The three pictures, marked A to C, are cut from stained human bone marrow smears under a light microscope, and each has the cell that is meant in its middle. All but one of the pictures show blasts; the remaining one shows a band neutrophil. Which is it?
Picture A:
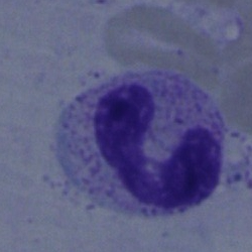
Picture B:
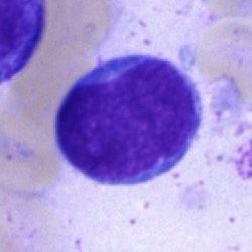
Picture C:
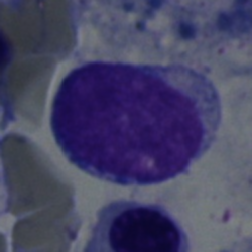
A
